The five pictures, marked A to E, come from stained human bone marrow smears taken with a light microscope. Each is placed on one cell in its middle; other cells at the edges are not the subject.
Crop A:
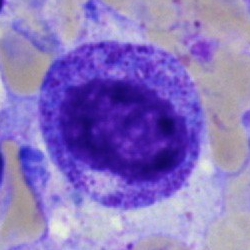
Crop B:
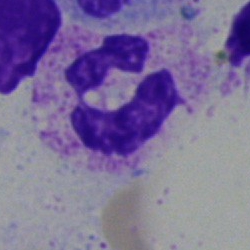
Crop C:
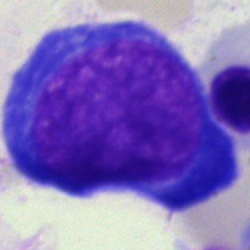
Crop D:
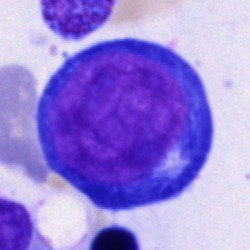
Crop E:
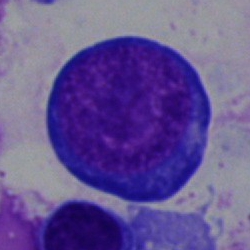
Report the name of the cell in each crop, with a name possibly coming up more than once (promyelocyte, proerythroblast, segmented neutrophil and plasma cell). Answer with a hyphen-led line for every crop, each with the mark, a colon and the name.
- A: promyelocyte
- B: segmented neutrophil
- C: proerythroblast
- D: proerythroblast
- E: proerythroblast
